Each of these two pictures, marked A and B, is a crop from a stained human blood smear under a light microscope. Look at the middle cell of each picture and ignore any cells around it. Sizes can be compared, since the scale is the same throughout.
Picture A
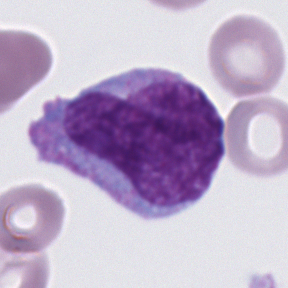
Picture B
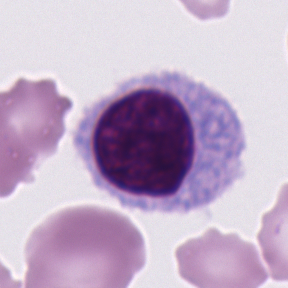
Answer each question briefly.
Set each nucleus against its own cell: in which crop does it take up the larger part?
A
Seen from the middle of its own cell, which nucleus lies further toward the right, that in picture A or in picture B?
A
